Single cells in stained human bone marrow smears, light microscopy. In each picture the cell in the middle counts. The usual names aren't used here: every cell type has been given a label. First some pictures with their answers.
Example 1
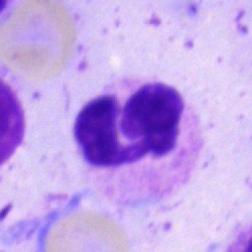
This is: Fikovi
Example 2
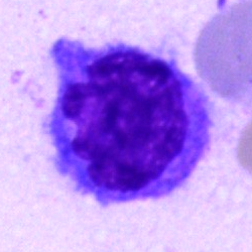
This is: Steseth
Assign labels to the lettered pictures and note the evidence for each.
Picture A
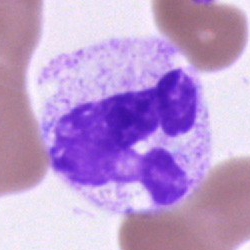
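Fikovi: The cytoplasm holds many fine violet granules scattered throughout.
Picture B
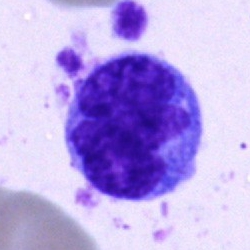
Steseth: The nucleus fills most of the cell.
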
